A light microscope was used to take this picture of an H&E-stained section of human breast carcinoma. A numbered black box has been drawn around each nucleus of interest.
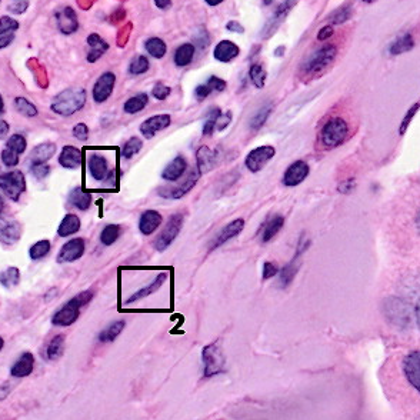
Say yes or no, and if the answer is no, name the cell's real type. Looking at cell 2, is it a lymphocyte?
No, it is a fibroblast.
